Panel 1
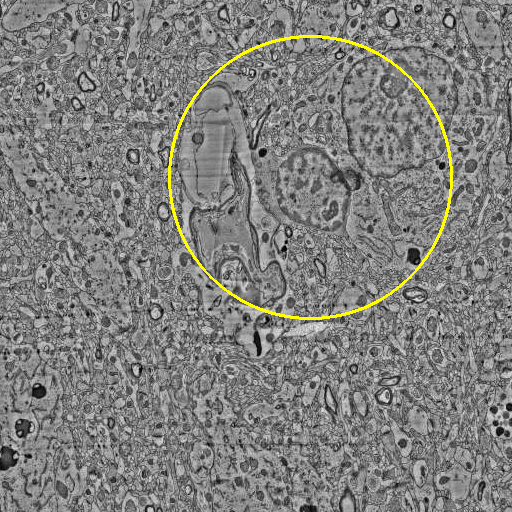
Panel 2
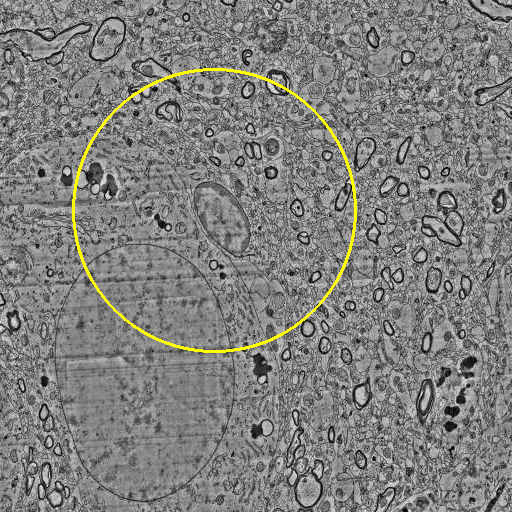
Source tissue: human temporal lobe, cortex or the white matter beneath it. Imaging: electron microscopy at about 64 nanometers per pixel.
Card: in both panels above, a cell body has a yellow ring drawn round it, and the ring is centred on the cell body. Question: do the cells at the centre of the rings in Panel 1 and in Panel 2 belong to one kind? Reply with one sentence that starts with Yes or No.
No, the cells centred in the rings of Panel 1 and Panel 2 are two kinds of cell.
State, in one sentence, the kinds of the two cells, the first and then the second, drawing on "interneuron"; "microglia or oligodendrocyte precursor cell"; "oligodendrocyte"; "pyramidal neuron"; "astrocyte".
The ring in the second picture is centred on a microglial cell or oligodendrocyte precursor cell, the ring in the first on an oligodendrocyte.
